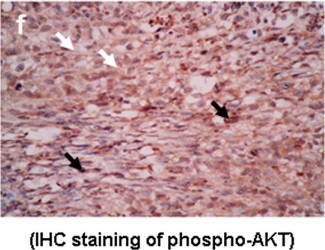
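Brown stain lies in many nuclei and also in the cytoplasm around them. Pale, clear spaces are scattered between the cells.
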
